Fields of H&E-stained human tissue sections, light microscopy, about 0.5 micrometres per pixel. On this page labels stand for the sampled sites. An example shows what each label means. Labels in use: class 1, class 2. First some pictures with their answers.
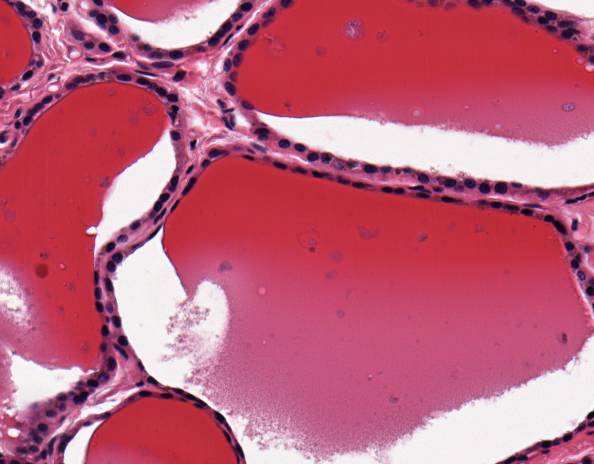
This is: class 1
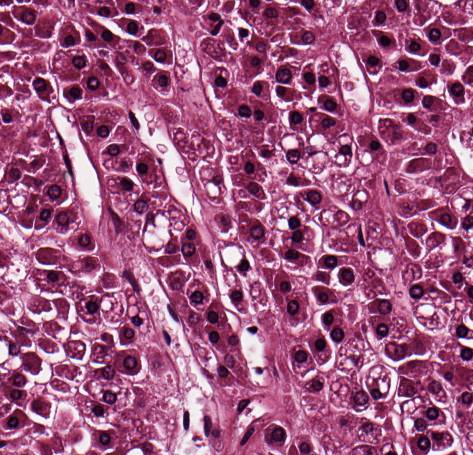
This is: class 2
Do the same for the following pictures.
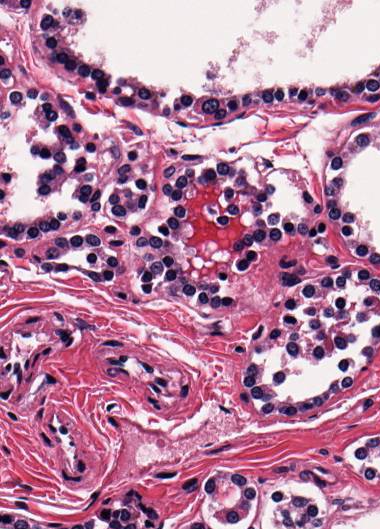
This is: class 1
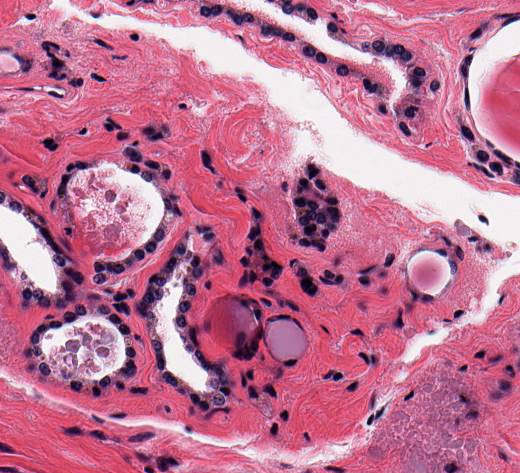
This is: class 1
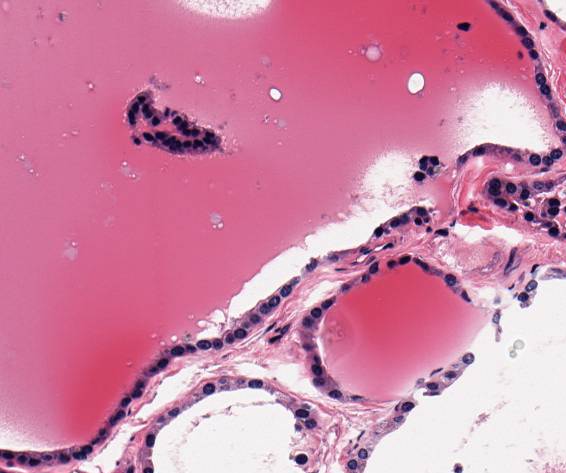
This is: class 1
